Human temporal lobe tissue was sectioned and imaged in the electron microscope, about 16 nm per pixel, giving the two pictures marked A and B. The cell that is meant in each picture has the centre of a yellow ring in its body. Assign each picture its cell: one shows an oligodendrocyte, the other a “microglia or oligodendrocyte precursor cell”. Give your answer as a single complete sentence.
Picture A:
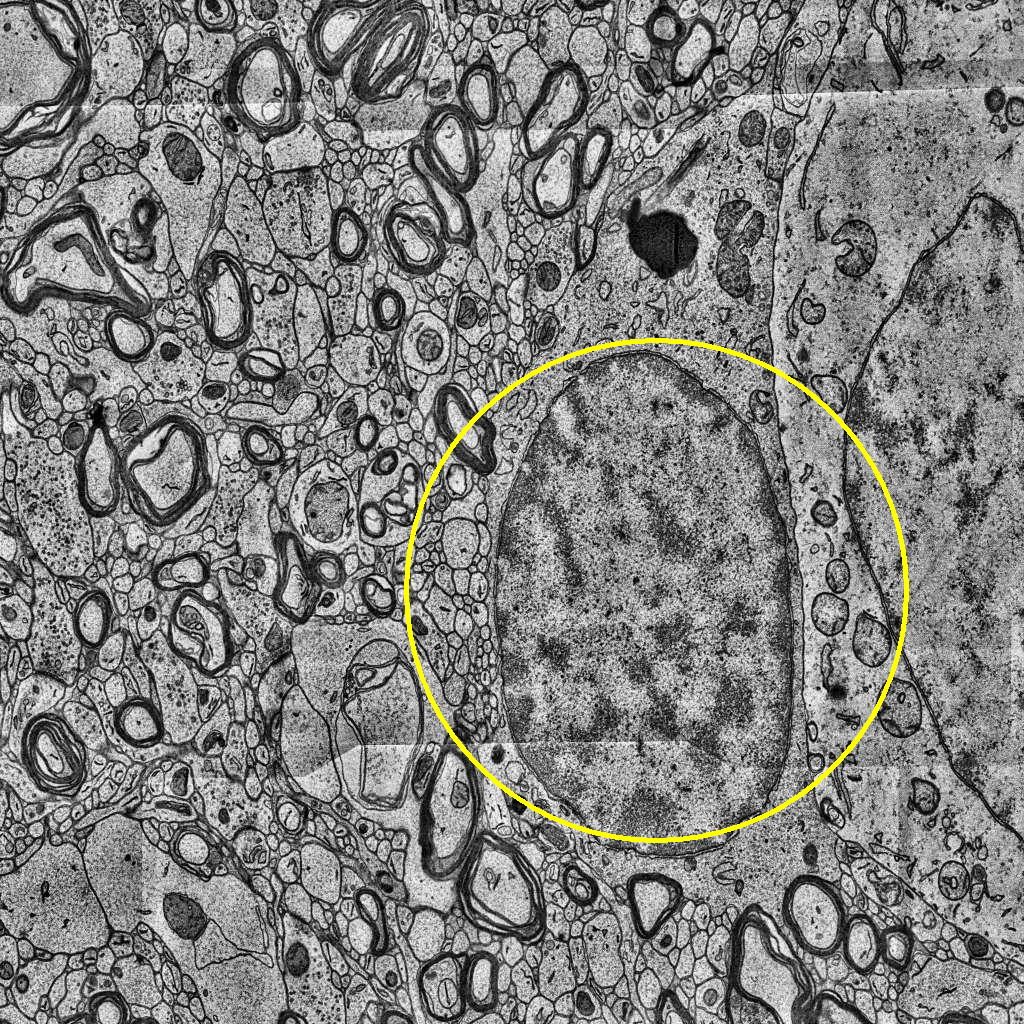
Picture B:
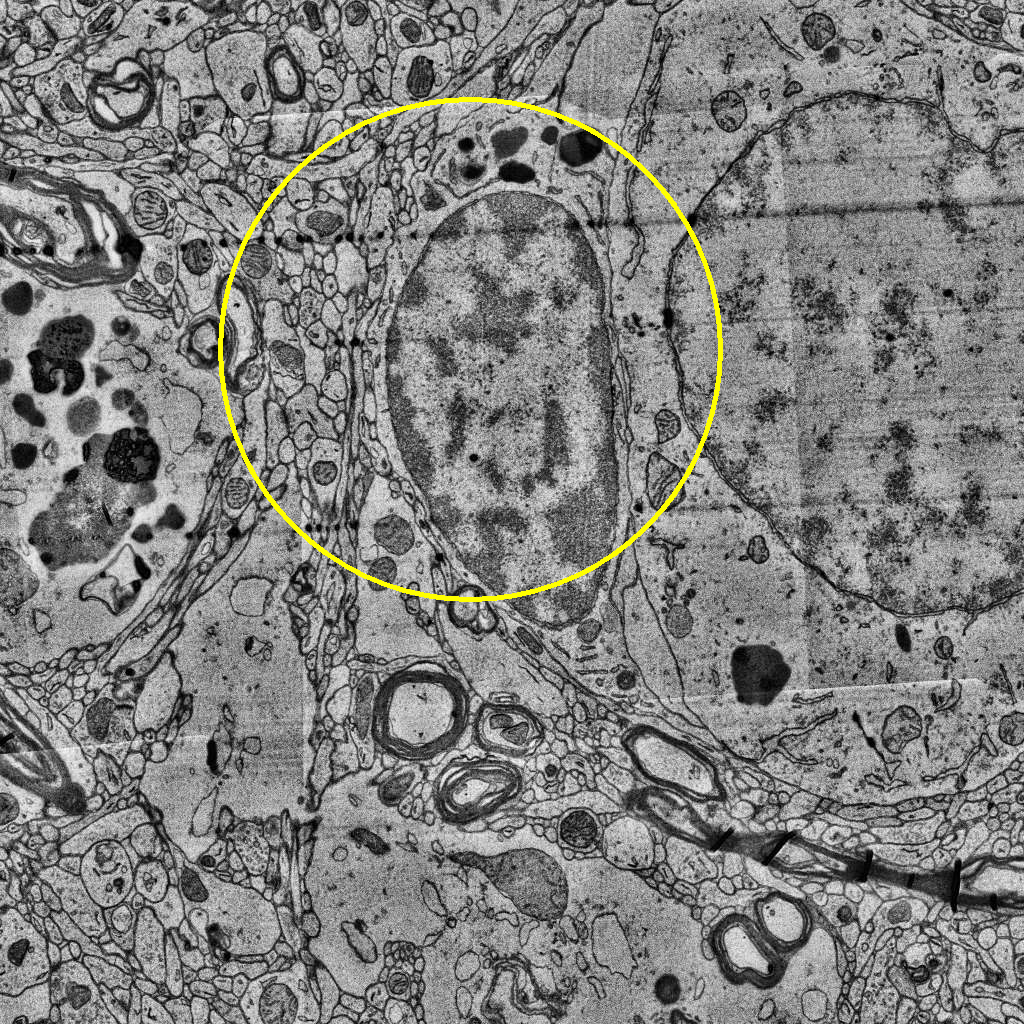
Picture A is of an oligodendrocyte, and picture B is of a “microglia or oligodendrocyte precursor cell”.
